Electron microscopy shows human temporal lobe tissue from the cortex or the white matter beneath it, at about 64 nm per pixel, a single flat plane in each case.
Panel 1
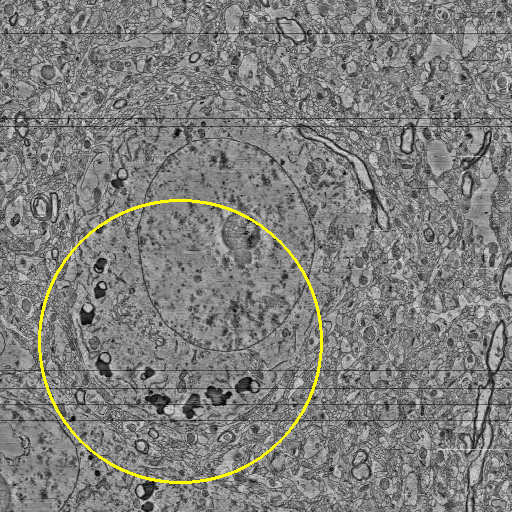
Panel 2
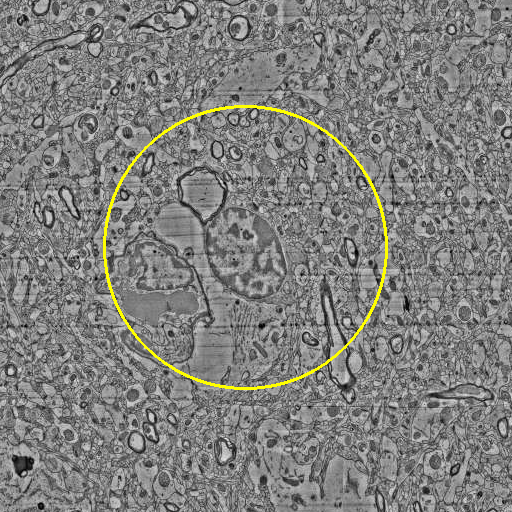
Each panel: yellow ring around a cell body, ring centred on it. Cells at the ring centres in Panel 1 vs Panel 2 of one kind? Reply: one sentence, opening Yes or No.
No, Panel 1 and Panel 2 have cells of two kinds at the ring centres.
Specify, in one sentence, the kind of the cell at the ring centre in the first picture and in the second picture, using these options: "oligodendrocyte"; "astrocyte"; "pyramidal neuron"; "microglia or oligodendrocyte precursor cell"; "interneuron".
So the first is a pyramidal neuron, the second an oligodendrocyte.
